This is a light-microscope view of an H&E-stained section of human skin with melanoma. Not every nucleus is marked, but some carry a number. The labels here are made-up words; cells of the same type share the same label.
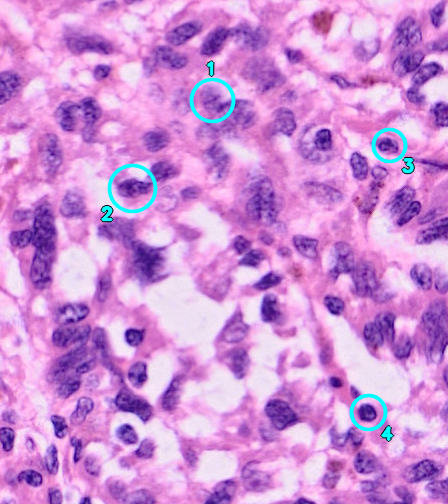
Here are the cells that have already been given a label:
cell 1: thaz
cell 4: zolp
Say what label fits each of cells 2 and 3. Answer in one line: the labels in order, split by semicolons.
thaz; zolp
